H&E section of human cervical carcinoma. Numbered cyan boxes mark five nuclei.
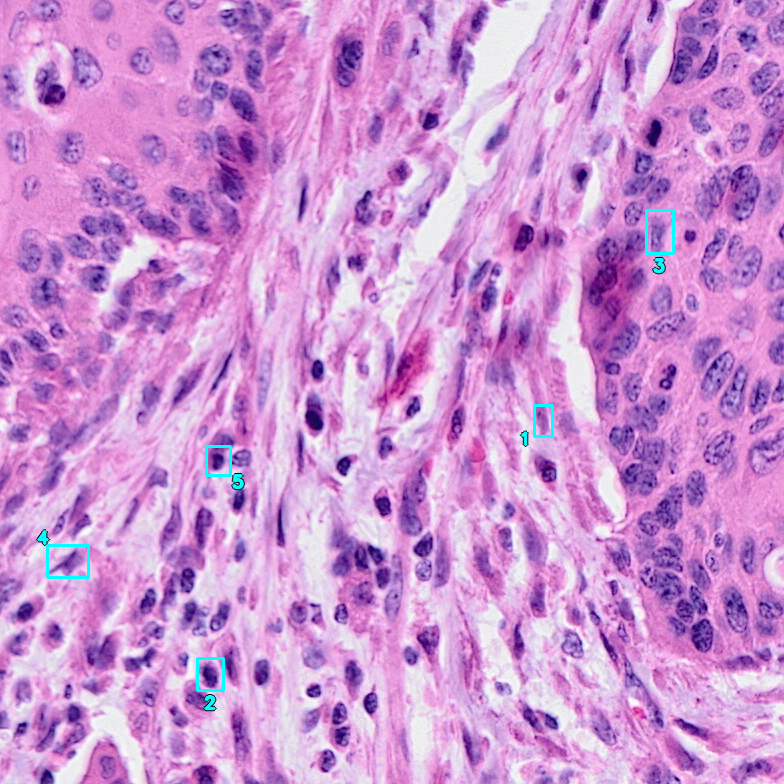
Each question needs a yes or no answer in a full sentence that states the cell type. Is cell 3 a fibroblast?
No, the cell with number 3 is not a fibroblast but a squamous carcinoma cell.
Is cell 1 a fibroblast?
Yes, the cell with number 1 is a fibroblast.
